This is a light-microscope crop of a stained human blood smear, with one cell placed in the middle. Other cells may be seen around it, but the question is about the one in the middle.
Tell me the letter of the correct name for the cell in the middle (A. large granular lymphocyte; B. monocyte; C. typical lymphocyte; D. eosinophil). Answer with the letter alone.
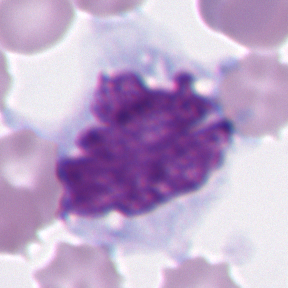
B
